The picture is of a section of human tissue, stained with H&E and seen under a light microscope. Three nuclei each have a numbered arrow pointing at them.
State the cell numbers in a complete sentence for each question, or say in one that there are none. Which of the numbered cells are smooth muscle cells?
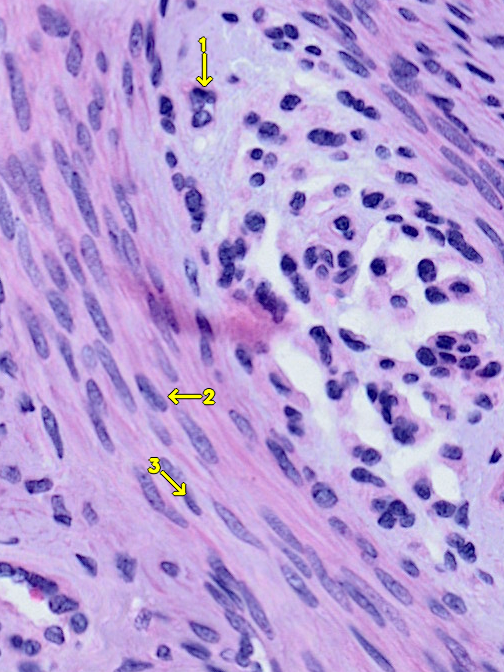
The cells which carry the numbers 2 and 3 are smooth muscle cells.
